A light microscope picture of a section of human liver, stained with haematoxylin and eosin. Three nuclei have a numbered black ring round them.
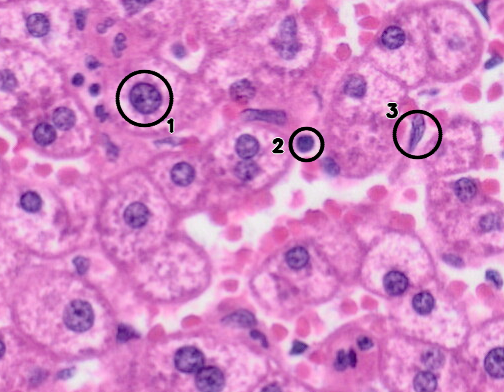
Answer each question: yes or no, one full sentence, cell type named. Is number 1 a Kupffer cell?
No, the cell carrying number 1 is a hepatocyte, not a Kupffer cell.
